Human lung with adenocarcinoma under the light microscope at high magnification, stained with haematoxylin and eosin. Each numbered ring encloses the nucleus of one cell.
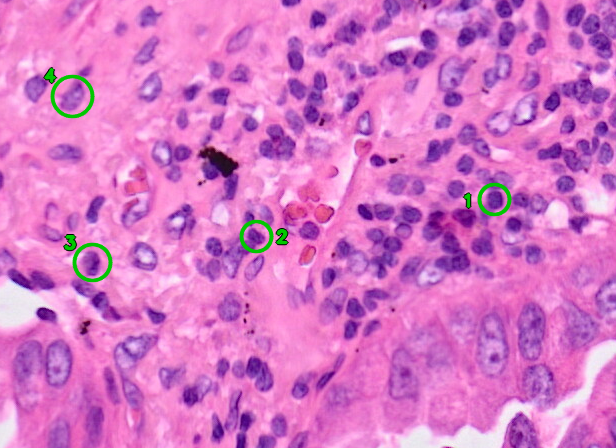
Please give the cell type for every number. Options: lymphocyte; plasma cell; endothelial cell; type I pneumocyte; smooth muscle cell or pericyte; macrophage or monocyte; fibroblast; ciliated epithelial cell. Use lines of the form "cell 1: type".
cell 1: lymphocyte
cell 2: lymphocyte
cell 3: lymphocyte
cell 4: fibroblast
